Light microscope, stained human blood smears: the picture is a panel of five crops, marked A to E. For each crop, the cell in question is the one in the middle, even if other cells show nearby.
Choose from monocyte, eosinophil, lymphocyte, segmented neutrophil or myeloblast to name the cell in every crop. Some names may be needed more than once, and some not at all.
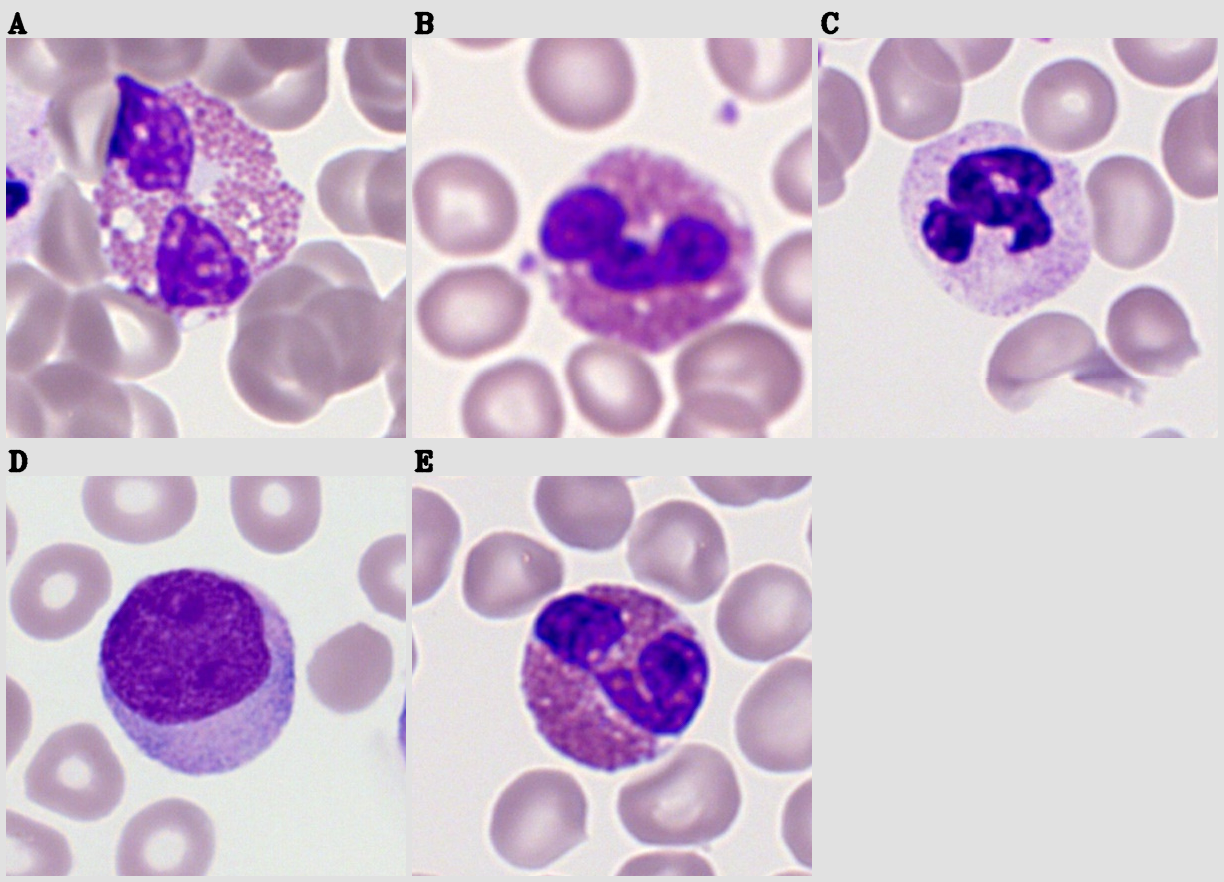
A: eosinophil
B: eosinophil
C: segmented neutrophil
D: myeloblast
E: eosinophil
